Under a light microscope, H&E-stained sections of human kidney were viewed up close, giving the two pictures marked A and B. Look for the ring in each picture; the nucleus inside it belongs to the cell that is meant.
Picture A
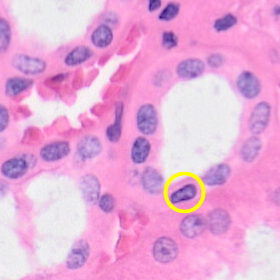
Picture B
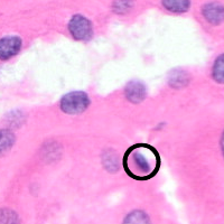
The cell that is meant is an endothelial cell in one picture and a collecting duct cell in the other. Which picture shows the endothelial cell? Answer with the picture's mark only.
B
